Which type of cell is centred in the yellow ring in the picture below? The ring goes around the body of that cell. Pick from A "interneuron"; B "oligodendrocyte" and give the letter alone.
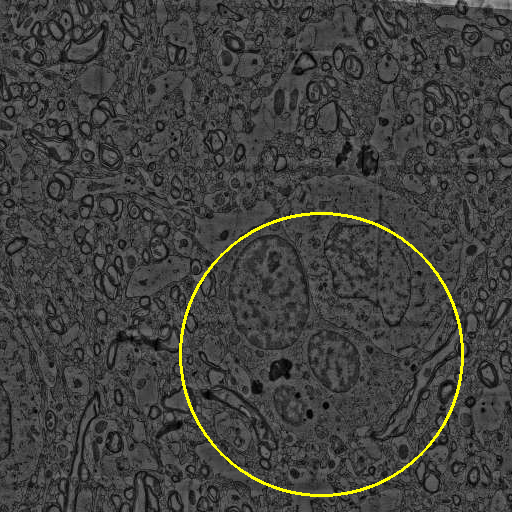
B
